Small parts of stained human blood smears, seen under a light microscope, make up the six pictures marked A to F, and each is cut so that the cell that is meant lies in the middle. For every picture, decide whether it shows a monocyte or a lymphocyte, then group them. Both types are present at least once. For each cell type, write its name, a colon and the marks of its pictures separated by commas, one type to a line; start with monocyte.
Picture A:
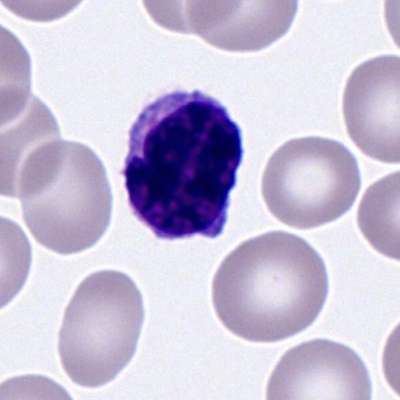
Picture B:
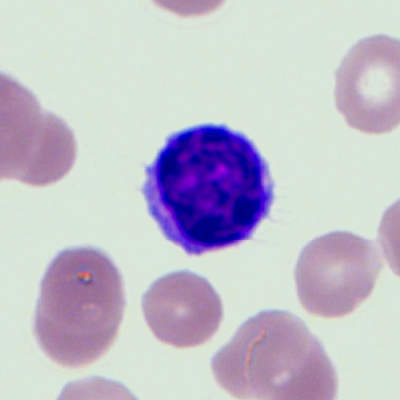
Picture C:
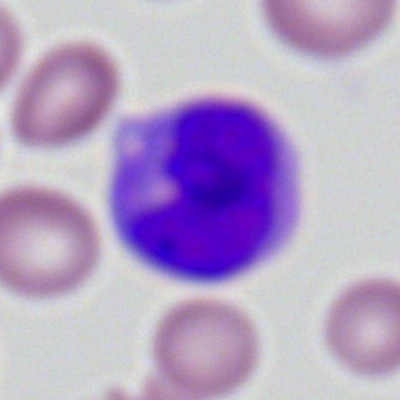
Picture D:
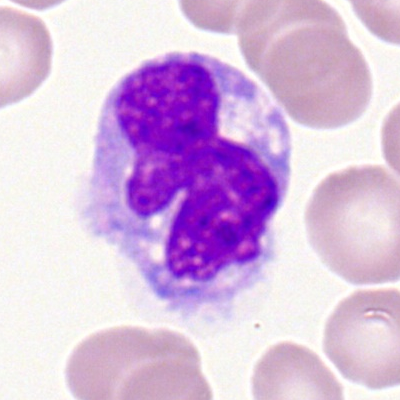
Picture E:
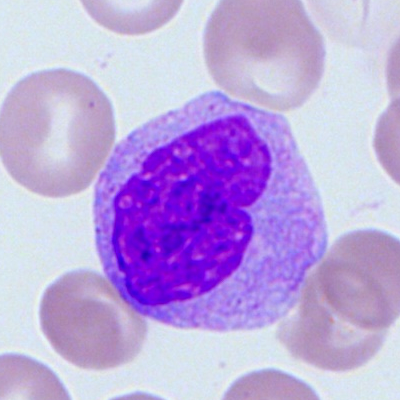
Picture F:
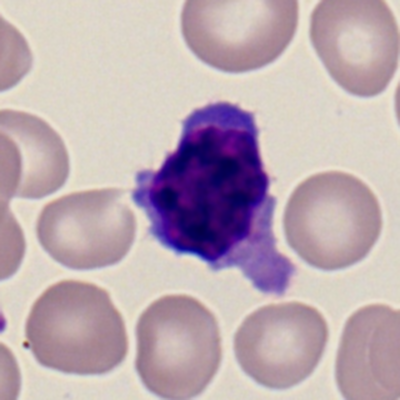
monocyte: C, D, E
lymphocyte: A, B, F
